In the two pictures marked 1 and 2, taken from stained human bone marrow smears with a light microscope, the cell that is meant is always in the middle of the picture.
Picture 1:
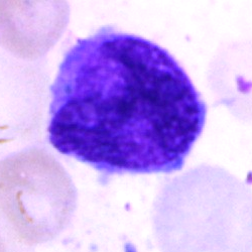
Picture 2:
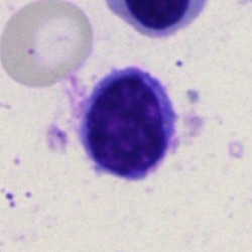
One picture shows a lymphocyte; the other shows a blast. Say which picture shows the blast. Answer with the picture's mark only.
1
